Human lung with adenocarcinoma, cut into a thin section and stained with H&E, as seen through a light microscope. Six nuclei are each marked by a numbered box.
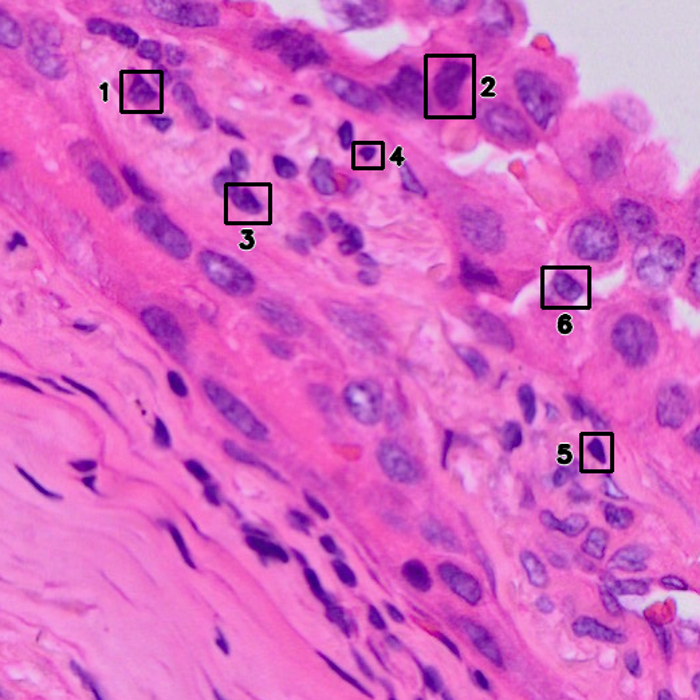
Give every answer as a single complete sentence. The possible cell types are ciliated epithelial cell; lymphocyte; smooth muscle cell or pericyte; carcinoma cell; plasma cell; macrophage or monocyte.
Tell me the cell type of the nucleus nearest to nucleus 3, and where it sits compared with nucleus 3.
A lymphocyte lies closest, above and to the left of nucleus 3.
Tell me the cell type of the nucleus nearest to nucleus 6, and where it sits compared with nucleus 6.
The closest nucleus belongs to a carcinoma cell and sits above and to the right of nucleus 6.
